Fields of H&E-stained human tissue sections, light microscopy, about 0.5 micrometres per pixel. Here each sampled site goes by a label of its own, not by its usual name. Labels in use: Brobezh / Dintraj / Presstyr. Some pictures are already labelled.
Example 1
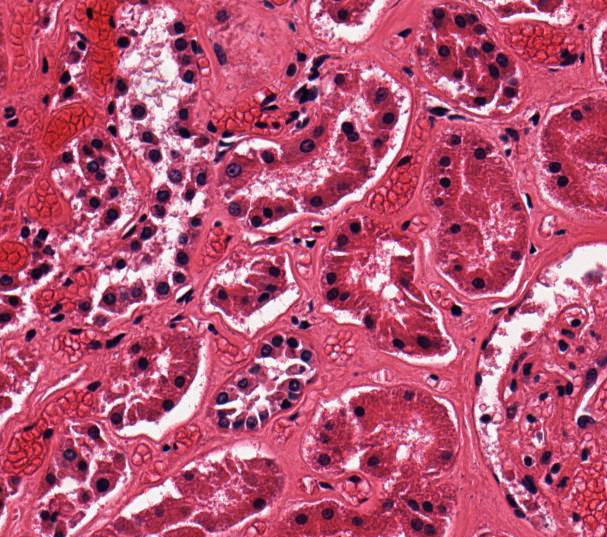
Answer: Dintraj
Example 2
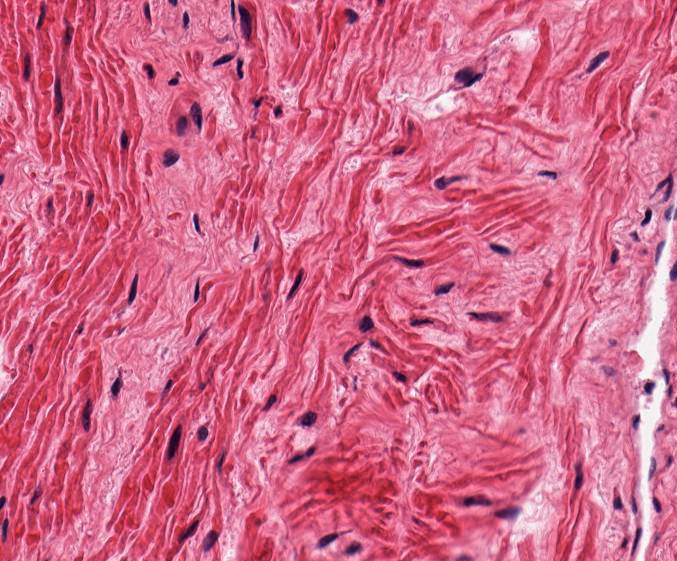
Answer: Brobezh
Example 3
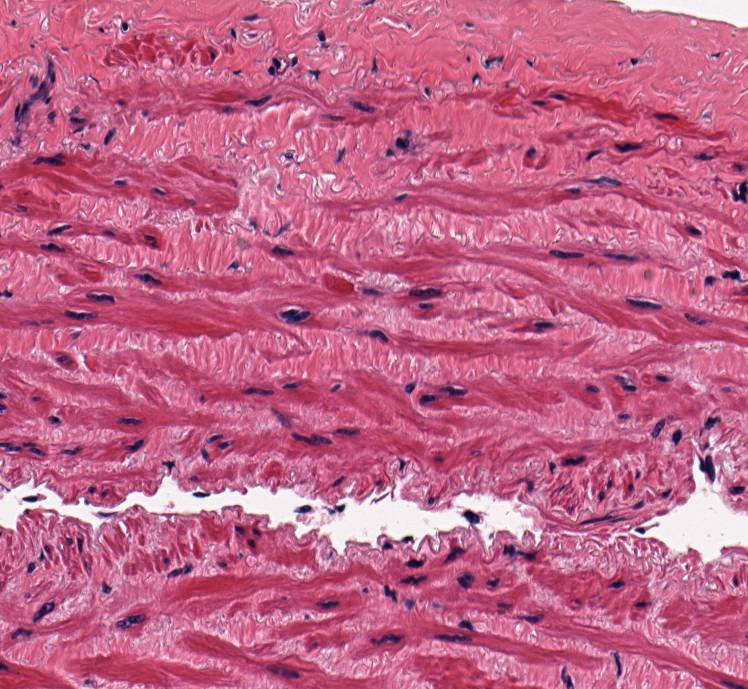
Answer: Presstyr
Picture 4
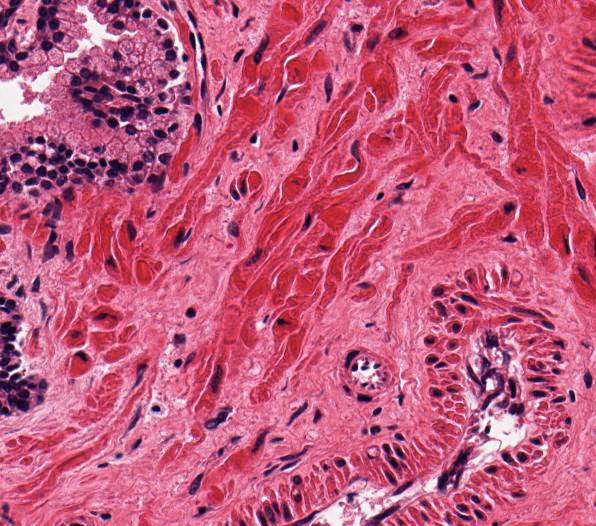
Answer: Brobezh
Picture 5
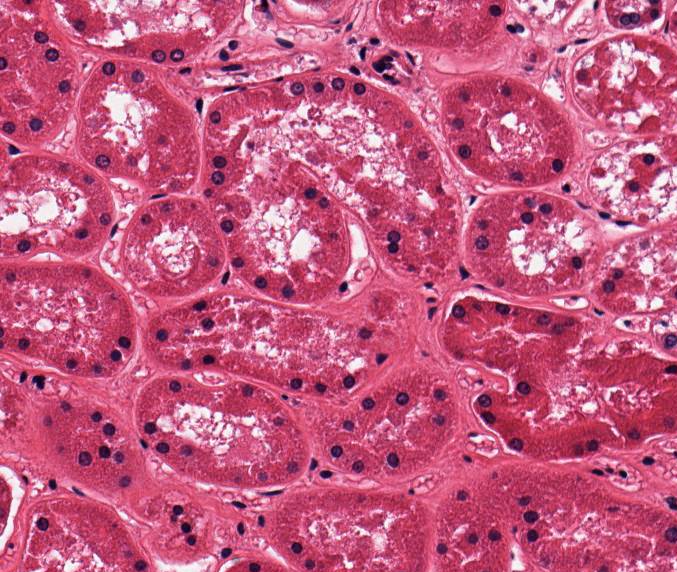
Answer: Dintraj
